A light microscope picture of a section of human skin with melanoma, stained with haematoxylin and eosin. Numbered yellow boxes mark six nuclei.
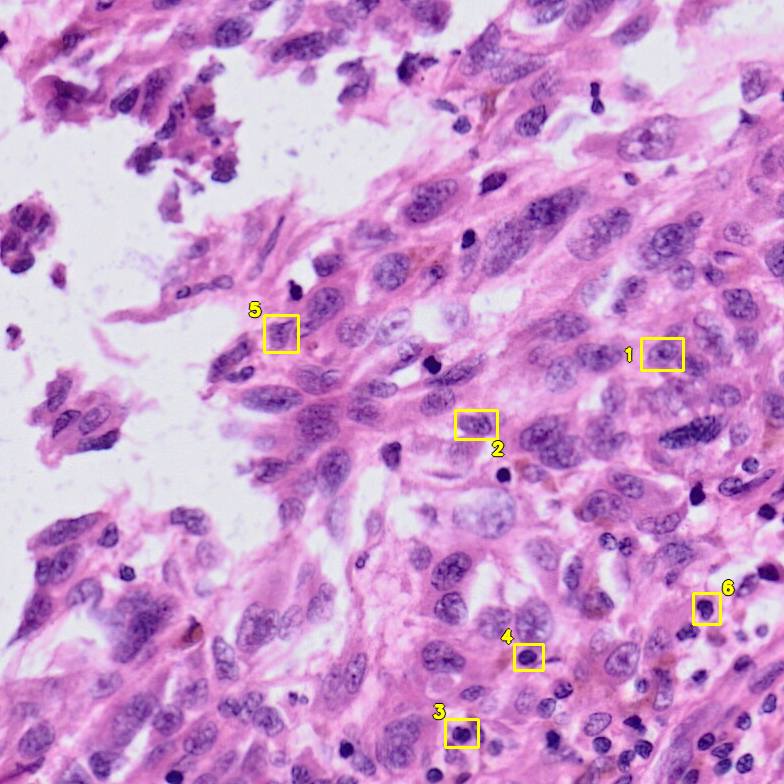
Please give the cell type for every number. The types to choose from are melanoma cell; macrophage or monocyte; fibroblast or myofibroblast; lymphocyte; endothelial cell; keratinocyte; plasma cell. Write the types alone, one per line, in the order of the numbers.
melanoma cell
melanoma cell
lymphocyte
lymphocyte
melanoma cell
lymphocyte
